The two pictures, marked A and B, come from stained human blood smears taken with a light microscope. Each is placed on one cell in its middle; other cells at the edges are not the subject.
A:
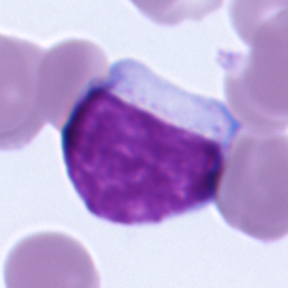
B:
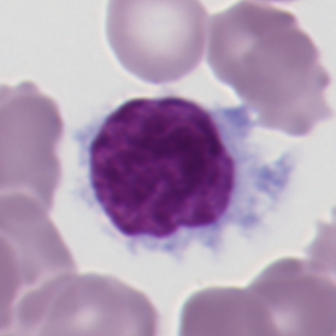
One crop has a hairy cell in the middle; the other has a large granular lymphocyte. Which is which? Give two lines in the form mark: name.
A: large granular lymphocyte
B: hairy cell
